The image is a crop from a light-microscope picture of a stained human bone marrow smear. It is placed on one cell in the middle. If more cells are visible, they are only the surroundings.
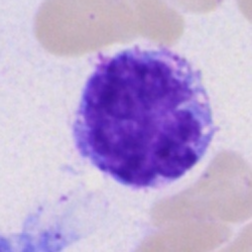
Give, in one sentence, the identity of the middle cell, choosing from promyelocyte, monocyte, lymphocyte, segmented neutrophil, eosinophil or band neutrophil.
The middle of this crop is occupied by a monocyte.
